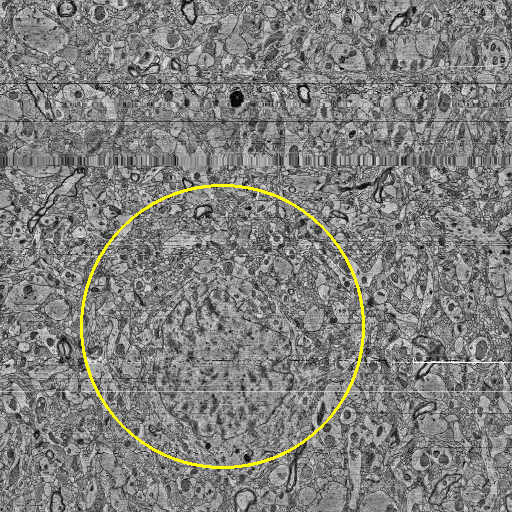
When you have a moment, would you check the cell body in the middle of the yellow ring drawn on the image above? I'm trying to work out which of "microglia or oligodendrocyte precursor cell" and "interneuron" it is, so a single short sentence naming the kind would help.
This cell body belongs to an interneuron.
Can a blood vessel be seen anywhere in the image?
No.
